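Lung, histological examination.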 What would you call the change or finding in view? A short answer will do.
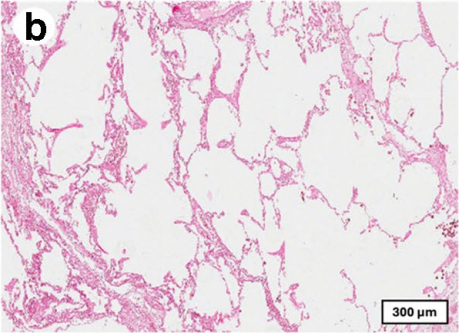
Cystic alveolar spaces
